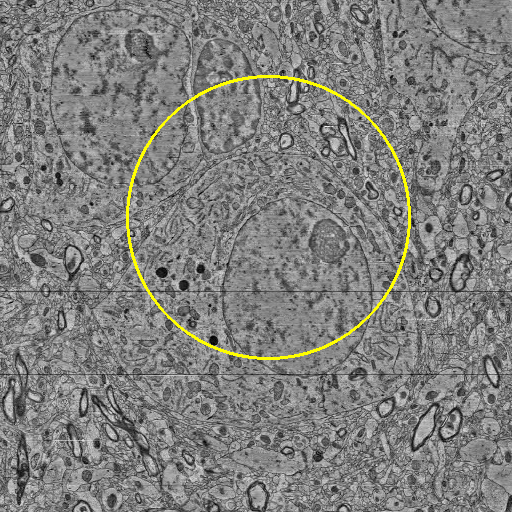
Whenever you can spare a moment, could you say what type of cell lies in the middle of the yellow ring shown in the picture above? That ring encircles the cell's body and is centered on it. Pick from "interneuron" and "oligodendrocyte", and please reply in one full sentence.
The cell whose body sits at the middle of the yellow ring is an interneuron.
